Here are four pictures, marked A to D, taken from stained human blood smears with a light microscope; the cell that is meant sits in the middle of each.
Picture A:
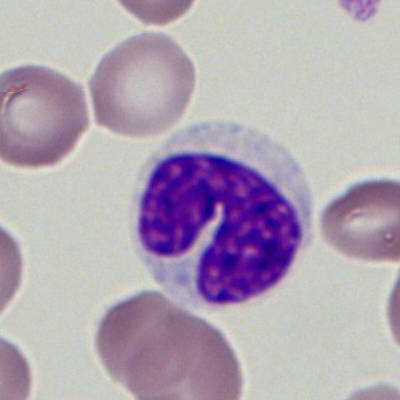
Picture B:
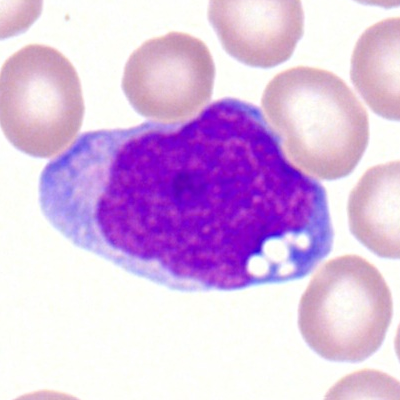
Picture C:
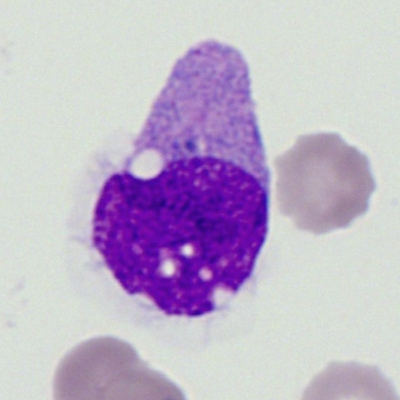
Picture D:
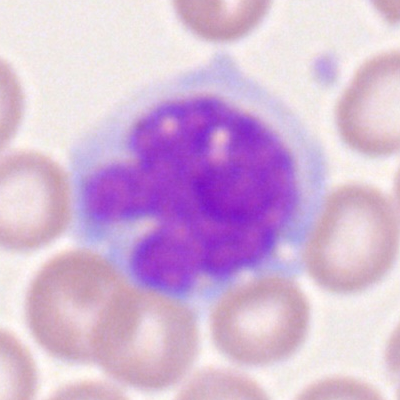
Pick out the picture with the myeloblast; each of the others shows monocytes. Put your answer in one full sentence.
The picture with the myeloblast is B.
